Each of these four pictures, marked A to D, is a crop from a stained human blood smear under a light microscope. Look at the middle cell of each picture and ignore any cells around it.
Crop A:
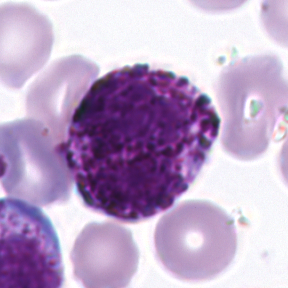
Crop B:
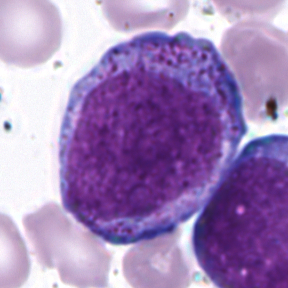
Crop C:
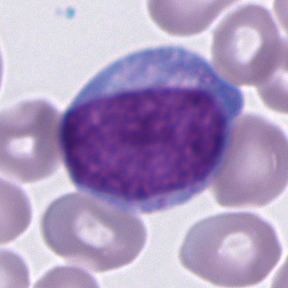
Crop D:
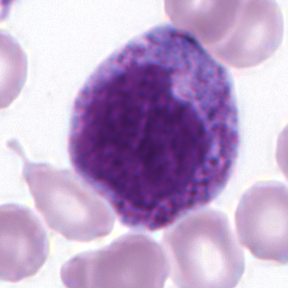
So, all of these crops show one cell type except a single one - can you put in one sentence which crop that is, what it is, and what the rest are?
Crop A alone is a basophil, and the other crops are all promyelocytes.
